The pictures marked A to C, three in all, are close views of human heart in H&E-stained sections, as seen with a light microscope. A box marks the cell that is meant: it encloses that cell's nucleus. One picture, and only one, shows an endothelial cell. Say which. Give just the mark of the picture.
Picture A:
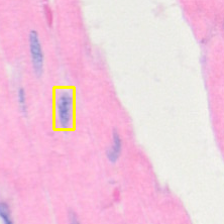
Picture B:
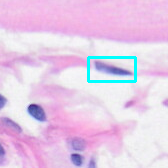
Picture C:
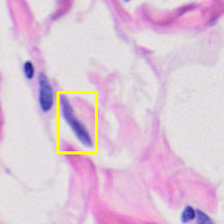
A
